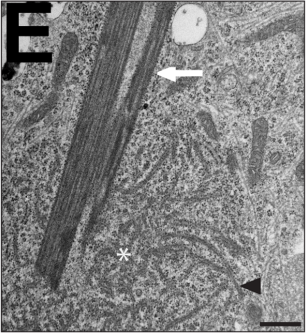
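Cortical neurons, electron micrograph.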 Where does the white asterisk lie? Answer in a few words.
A: circular domain in the cytoplasm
